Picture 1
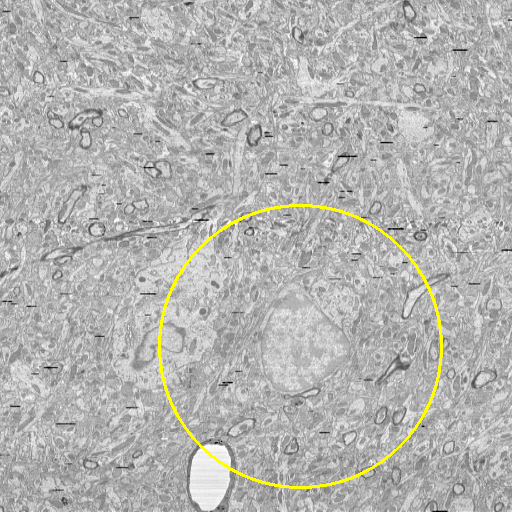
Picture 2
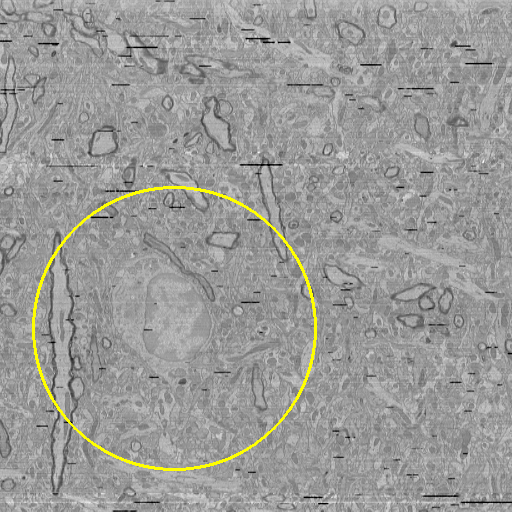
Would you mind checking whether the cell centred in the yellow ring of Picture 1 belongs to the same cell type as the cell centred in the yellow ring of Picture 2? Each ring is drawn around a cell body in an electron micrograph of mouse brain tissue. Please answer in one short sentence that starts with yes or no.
Yes, both cells are of the same type.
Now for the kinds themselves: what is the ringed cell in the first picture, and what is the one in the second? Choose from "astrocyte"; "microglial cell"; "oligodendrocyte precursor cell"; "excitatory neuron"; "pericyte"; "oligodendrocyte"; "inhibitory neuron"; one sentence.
Each of the two rings is centred on an oligodendrocyte.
